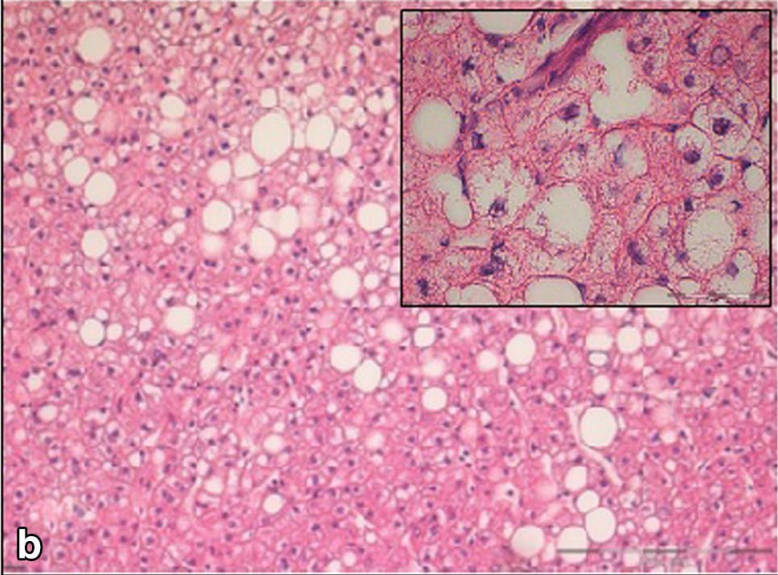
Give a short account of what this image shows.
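Liver tissue in which many hepatocytes contain round clear fat vacuoles of varied size, some filling the whole cell, mixed with hepatocytes of paler pink cytoplasm. In the enlarged view, swollen hepatocytes show cleared, wispy cytoplasm around their nuclei, next to large empty fat vacuoles.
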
